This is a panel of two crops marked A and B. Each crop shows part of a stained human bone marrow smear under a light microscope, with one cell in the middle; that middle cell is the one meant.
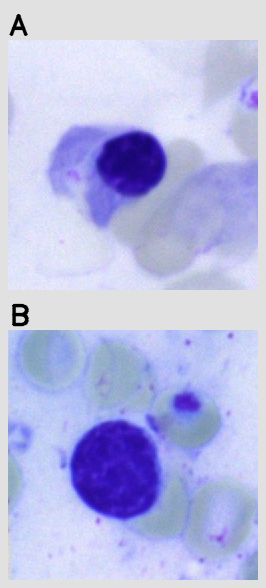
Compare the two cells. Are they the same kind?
no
